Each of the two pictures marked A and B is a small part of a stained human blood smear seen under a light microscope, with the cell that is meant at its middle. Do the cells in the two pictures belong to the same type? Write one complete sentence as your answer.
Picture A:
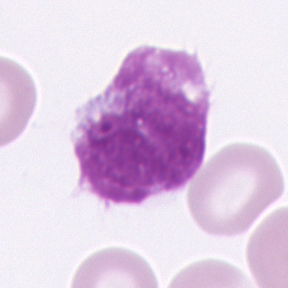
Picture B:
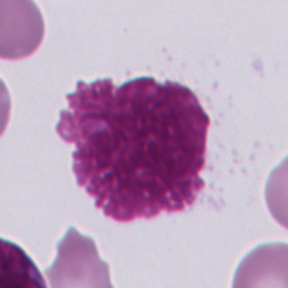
Yes; the cells in both pictures are smudge cells.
